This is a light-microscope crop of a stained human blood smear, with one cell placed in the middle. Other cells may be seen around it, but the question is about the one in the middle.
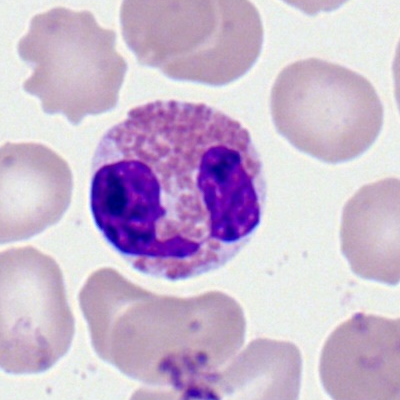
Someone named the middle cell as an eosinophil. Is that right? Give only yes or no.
yes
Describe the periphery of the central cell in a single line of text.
A smooth, projection-free outline is what this cell has.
